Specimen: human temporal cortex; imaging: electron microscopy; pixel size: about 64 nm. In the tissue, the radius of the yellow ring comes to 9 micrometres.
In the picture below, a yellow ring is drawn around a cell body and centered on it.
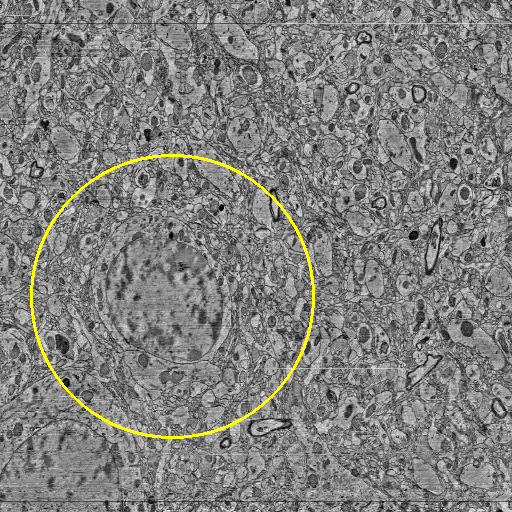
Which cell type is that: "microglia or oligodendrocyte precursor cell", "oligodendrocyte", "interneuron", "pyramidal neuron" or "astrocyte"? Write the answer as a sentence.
The cell centered in the ring is an interneuron.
